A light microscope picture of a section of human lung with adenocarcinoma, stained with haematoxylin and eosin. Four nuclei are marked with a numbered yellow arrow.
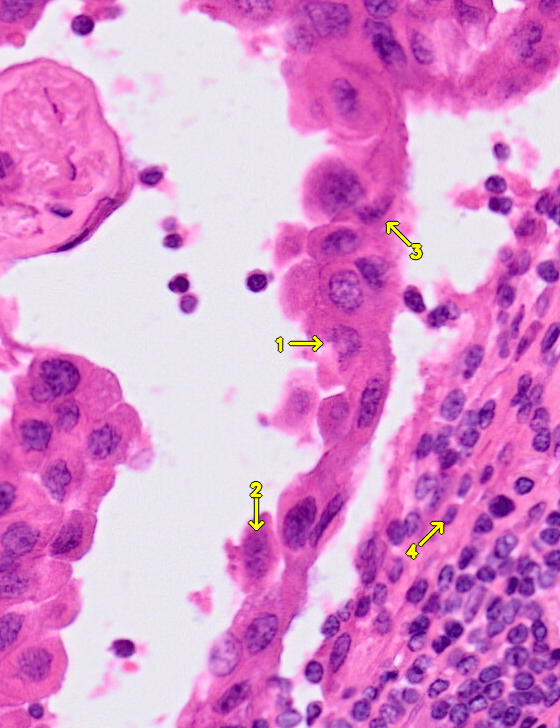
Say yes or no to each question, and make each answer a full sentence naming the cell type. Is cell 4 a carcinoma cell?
No, it is a lymphocyte, not a carcinoma cell, that number 4 marks.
